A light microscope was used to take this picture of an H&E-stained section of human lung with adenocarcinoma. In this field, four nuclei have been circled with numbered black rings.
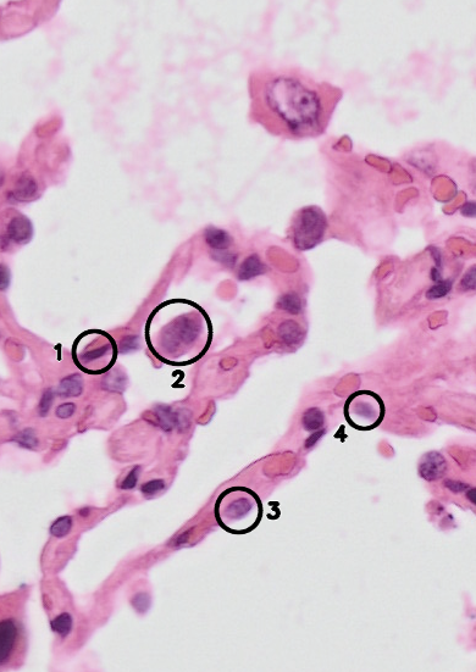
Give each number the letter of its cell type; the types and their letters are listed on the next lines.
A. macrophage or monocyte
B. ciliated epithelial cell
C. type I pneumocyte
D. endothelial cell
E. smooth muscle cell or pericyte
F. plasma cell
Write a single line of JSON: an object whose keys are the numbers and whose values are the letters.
{"1": "D", "2": "A", "3": "C", "4": "C"}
